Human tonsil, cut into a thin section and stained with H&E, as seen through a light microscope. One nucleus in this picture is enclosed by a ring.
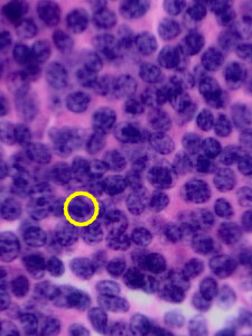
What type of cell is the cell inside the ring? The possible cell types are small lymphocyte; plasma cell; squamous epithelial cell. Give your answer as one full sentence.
The identity of the cell inside the ring is that of a small lymphocyte.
